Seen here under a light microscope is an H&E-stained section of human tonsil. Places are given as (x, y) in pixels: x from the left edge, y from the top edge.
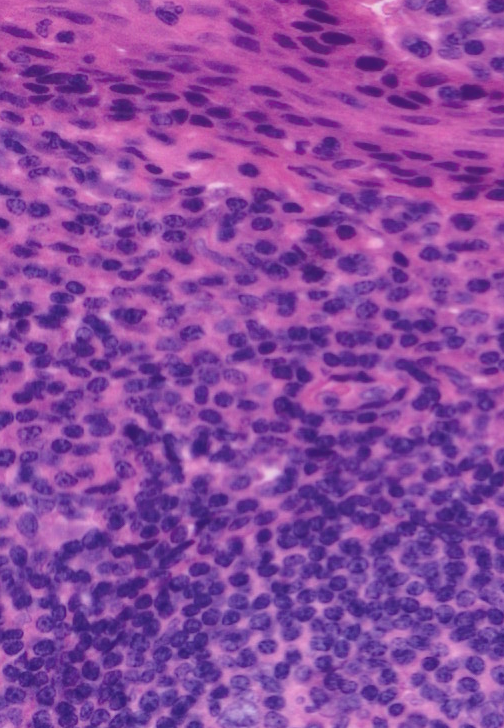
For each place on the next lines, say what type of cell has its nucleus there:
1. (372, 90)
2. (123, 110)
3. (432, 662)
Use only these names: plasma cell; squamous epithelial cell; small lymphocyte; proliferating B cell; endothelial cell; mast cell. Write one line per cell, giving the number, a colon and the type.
1: squamous epithelial cell
2: squamous epithelial cell
3: small lymphocyte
